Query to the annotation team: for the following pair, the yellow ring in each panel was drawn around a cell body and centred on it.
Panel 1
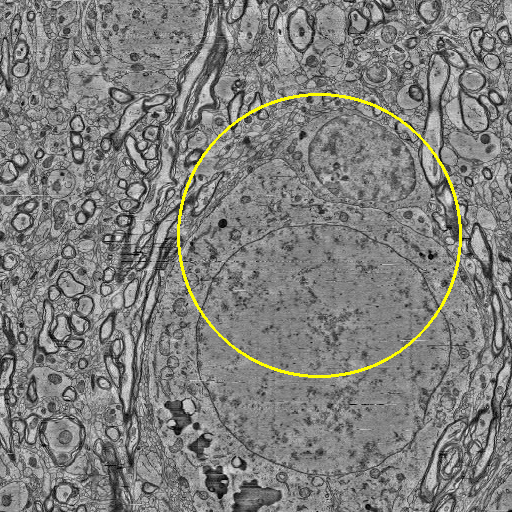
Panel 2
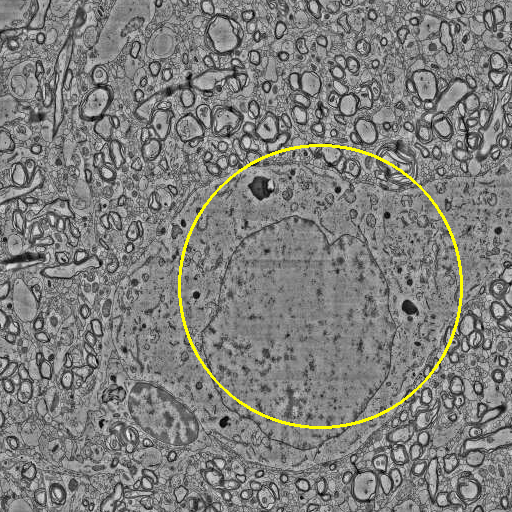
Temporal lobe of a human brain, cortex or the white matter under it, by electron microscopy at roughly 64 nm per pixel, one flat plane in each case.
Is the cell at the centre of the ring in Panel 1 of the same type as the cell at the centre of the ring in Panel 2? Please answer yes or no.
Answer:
yes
